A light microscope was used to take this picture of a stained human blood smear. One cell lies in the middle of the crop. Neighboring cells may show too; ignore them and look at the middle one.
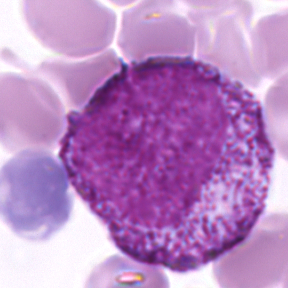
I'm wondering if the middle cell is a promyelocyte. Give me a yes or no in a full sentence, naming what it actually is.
No, the middle cell is actually a myelocyte rather than a promyelocyte.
